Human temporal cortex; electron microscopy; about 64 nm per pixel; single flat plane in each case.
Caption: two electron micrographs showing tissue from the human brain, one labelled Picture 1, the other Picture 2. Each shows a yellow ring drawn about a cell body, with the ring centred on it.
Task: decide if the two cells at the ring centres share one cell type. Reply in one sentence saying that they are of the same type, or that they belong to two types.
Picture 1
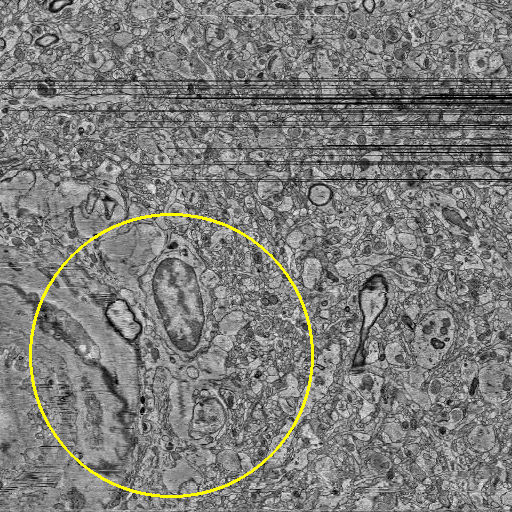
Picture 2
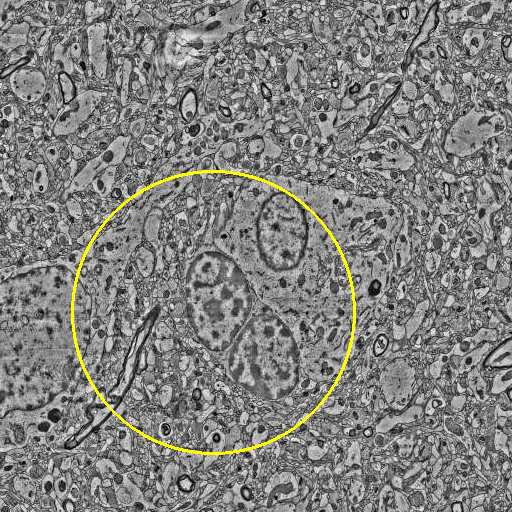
The cells at the ring centres in Picture 1 and Picture 2 belong to two types.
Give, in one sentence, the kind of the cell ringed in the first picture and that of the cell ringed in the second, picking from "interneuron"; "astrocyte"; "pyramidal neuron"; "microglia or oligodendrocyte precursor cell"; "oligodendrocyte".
For the first picture it is a microglial cell or oligodendrocyte precursor cell; for the second, an oligodendrocyte.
